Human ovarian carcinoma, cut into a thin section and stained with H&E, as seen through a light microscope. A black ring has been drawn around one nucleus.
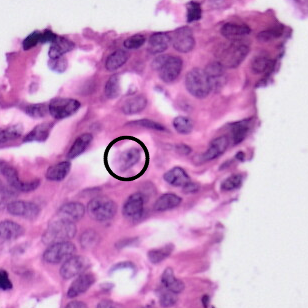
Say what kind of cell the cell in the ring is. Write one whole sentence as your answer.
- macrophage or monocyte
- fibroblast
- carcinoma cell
Among the cells in this section, the cell in the ring is a macrophage or monocyte.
